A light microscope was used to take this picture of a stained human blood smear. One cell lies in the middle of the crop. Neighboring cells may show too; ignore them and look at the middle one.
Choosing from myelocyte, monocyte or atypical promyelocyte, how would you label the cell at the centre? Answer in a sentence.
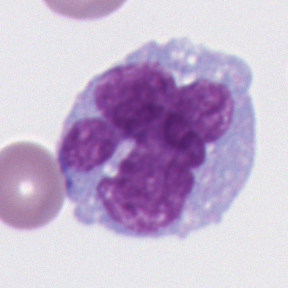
Occupying the centre of the crop is a monocyte.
